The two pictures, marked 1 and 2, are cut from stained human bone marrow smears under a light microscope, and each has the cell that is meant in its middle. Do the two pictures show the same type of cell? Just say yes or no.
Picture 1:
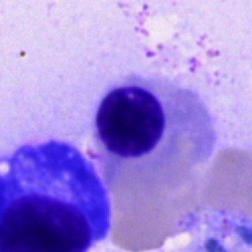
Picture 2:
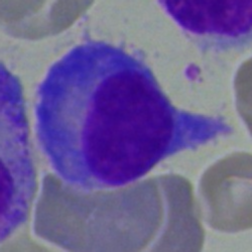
no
